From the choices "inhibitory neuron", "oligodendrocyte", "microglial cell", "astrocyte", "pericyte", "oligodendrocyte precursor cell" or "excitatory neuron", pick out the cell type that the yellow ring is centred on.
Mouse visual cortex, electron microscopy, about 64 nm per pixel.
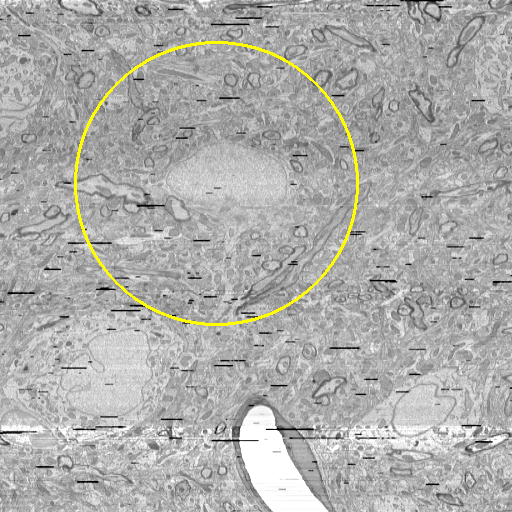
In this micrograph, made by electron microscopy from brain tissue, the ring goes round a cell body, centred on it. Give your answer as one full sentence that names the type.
The yellow ring is centred on an astrocyte, whose cell body it encircles in the picture.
